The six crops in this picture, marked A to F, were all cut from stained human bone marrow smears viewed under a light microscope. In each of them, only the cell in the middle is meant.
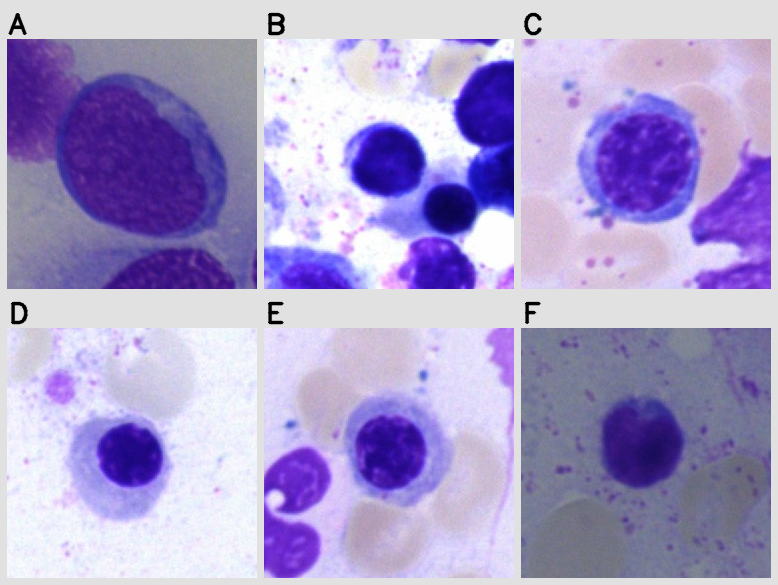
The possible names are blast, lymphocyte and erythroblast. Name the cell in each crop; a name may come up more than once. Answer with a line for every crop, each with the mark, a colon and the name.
A: blast
B: lymphocyte
C: erythroblast
D: erythroblast
E: erythroblast
F: lymphocyte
